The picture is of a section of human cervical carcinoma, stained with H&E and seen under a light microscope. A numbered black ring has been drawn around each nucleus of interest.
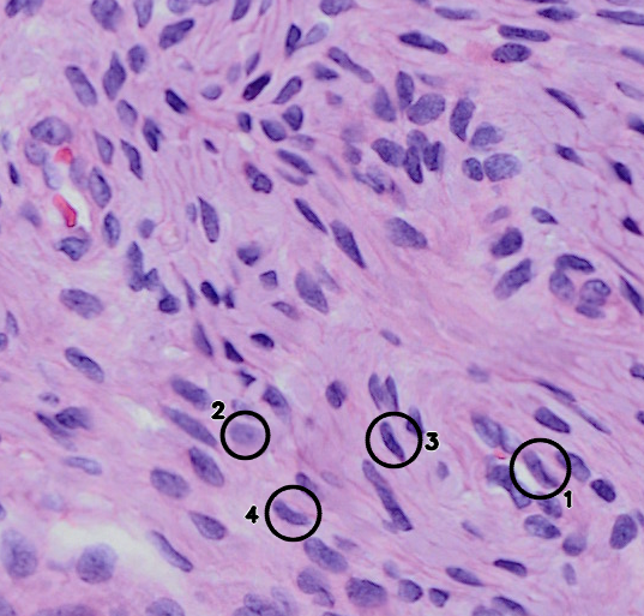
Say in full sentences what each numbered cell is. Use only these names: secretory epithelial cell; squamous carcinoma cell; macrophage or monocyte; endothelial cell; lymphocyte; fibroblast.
Cell 1 is an endothelial cell, cell 2 is a fibroblast, cell 3 is a fibroblast and cell 4 is a fibroblast.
